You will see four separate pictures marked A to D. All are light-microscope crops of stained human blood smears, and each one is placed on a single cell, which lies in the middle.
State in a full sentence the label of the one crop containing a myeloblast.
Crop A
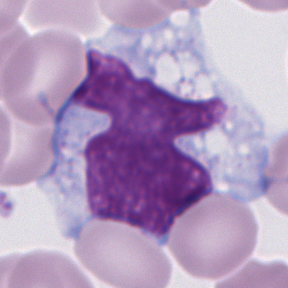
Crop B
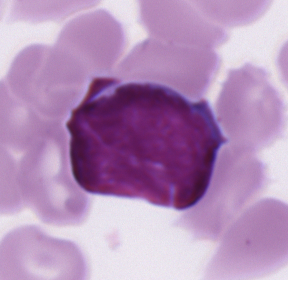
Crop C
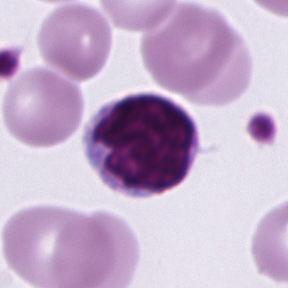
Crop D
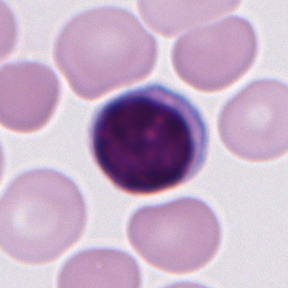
The crop bearing a myeloblast is crop B.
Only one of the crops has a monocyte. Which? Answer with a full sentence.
The crop bearing a monocyte is crop A.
